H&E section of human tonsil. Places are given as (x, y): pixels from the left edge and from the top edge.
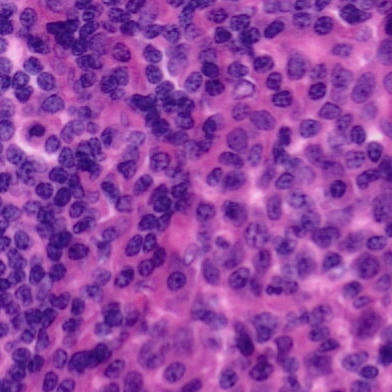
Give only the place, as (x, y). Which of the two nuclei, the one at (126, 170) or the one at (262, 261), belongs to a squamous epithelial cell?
(262, 261)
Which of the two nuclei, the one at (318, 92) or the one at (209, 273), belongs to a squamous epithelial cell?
(209, 273)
